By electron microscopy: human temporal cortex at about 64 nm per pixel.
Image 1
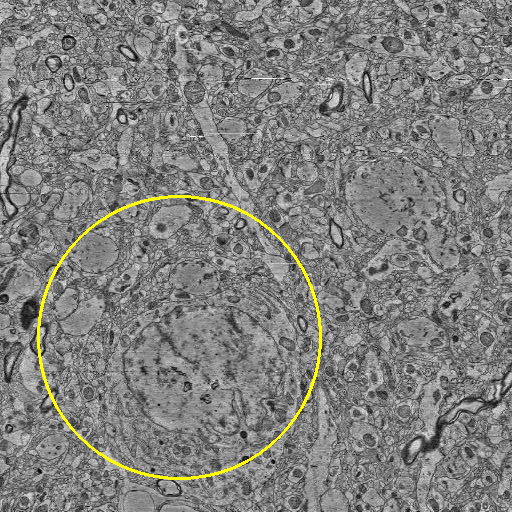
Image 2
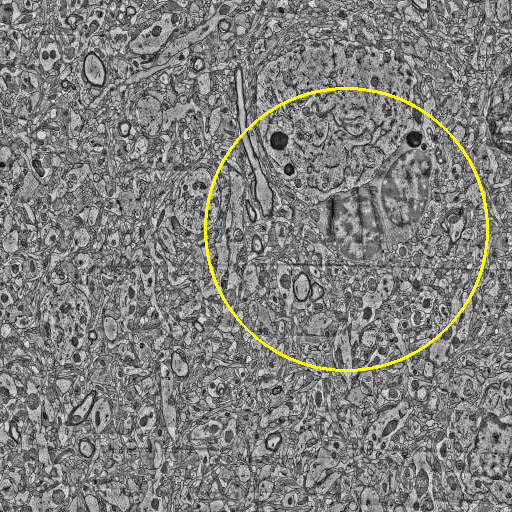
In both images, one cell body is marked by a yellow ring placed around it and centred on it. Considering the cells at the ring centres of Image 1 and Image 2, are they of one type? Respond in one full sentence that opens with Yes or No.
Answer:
No, two types apply to the ring-centred cells of Image 1 and Image 2.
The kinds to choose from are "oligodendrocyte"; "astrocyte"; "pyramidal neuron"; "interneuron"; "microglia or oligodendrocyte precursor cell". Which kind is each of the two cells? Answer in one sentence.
Of the two, the first cell is an interneuron and the second cell is an oligodendrocyte.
